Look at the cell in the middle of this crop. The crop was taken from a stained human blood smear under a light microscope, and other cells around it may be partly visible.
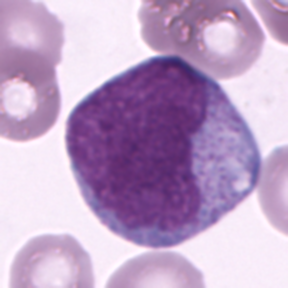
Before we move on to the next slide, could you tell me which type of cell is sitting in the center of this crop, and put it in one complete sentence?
The cell at the middle of the frame should be recorded as a promyelocyte.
